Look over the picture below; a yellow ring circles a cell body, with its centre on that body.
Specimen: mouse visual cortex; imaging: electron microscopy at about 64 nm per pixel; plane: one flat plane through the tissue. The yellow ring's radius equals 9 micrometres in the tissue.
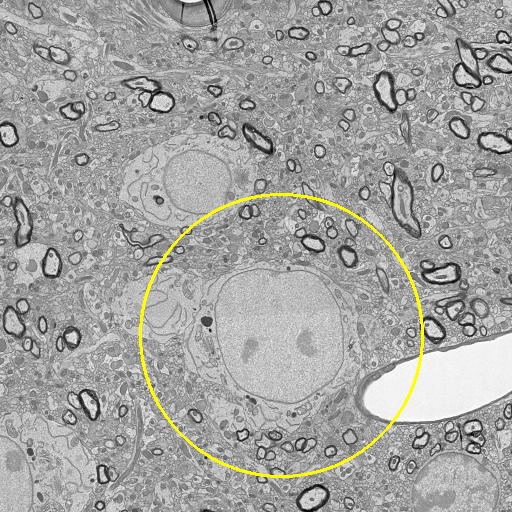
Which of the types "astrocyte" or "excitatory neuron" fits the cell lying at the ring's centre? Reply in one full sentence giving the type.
The picture shows an excitatory neuron at the centre of the yellow ring.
